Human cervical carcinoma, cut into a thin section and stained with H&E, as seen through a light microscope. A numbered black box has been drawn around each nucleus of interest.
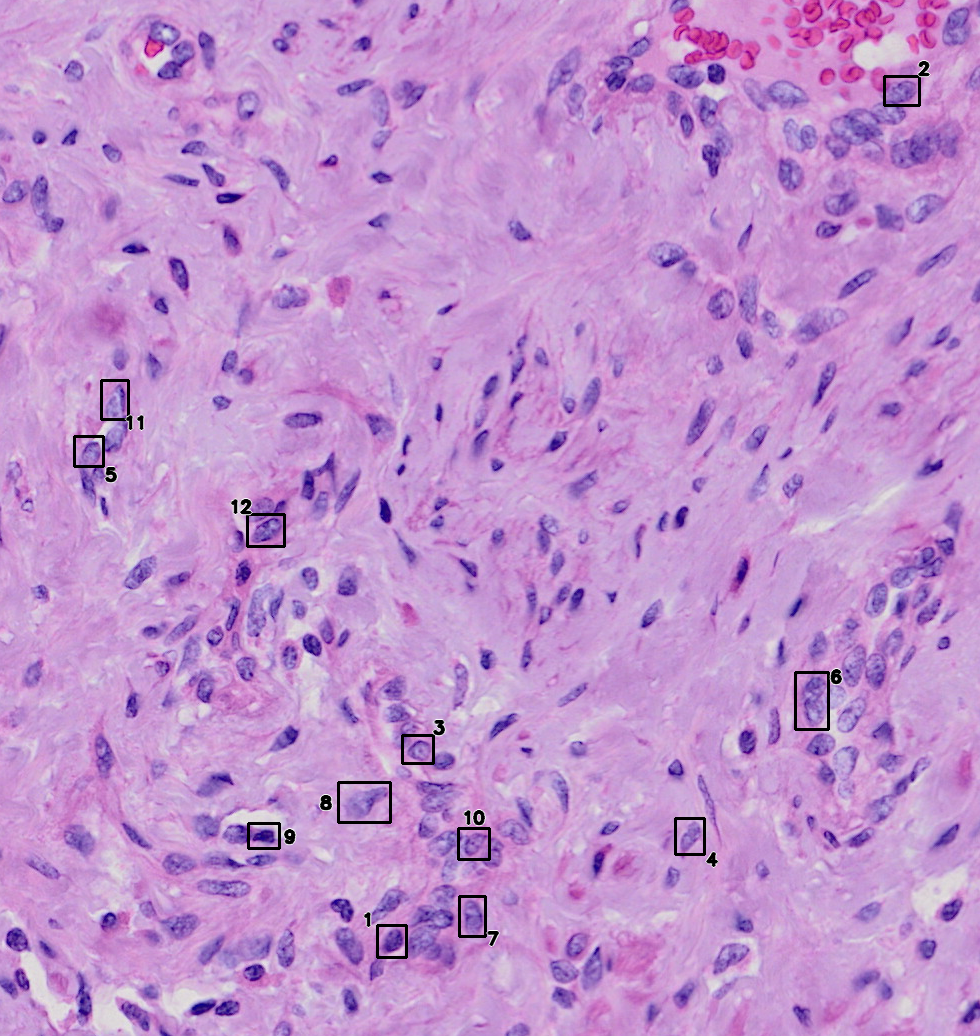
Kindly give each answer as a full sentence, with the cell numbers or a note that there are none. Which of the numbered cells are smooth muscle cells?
In contrast to the remaining marked cells, cell 7 is a smooth muscle cell.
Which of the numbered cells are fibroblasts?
The cells shown with numbers 4 and 8 are fibroblasts.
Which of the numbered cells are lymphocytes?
The cells marked by the numbers 1 and 9 are lymphocytes.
